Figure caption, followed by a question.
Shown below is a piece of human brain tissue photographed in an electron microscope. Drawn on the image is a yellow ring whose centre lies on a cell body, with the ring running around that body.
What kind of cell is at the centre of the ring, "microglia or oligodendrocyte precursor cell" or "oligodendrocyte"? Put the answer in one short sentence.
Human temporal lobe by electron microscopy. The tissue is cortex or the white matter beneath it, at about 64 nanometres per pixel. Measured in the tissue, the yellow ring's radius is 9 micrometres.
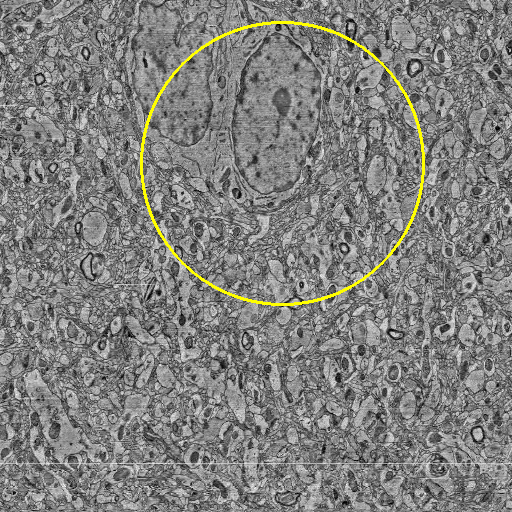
The ring marks the cell body of a microglial cell or oligodendrocyte precursor cell.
